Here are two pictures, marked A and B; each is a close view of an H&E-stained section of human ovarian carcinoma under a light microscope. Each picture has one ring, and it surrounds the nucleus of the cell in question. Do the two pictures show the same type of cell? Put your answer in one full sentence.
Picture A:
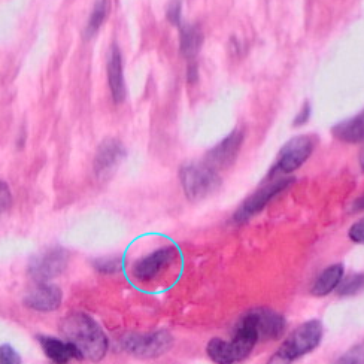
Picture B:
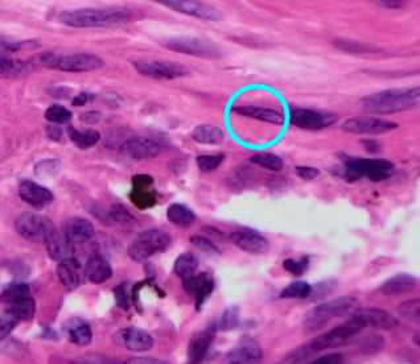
Yes, both cells are endothelial cells.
